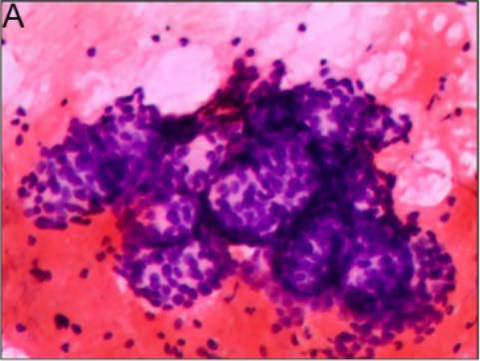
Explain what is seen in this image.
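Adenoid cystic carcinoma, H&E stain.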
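This smear shows tumor cells forming cribriform, ball-like structures of different sizes. Small, uniform, dark purple oval nuclei with little visible cytoplasm are packed tightly into rounded clusters that sit side by side. Scattered single nuclei lie around the clusters against a pink and red background.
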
